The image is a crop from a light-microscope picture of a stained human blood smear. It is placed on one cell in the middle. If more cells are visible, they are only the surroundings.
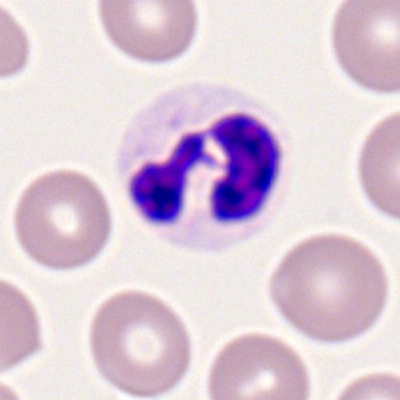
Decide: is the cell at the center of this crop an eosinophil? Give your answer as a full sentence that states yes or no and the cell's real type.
No, the cell in the centre of the crop is a segmented neutrophil as opposed to an eosinophil.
